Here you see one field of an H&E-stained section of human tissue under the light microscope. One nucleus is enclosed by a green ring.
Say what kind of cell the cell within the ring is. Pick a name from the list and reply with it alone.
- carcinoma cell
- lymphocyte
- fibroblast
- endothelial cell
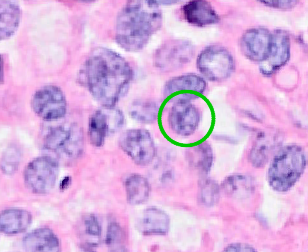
carcinoma cell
